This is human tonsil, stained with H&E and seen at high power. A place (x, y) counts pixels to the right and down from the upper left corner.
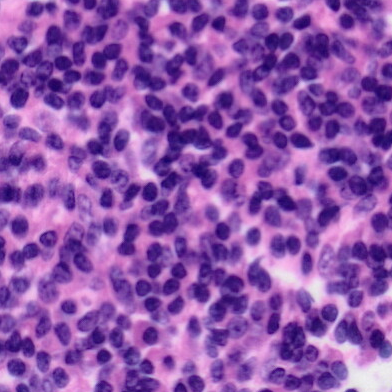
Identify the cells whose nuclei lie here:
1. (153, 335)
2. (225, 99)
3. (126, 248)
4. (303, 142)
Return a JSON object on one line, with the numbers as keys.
{"1": "plasma cell", "2": "small lymphocyte", "3": "small lymphocyte", "4": "small lymphocyte"}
